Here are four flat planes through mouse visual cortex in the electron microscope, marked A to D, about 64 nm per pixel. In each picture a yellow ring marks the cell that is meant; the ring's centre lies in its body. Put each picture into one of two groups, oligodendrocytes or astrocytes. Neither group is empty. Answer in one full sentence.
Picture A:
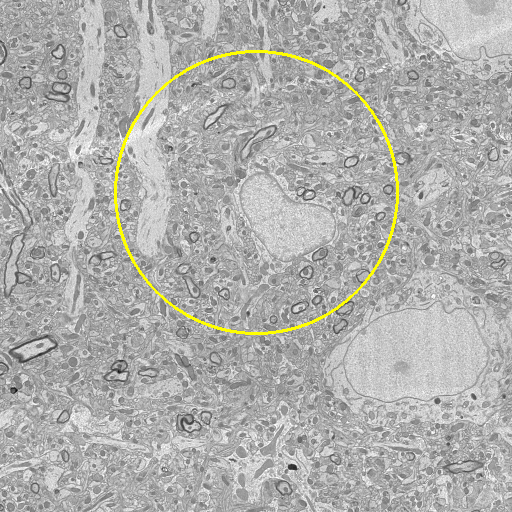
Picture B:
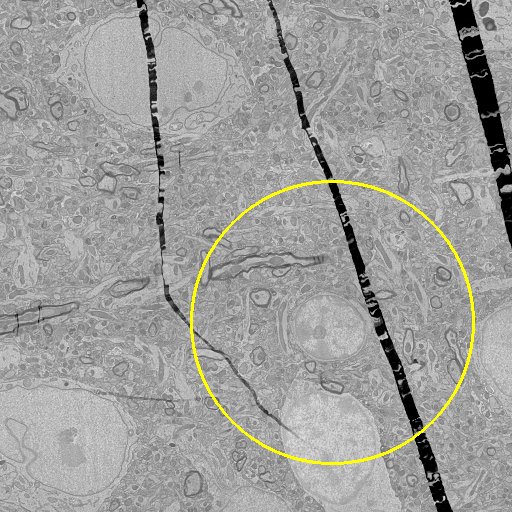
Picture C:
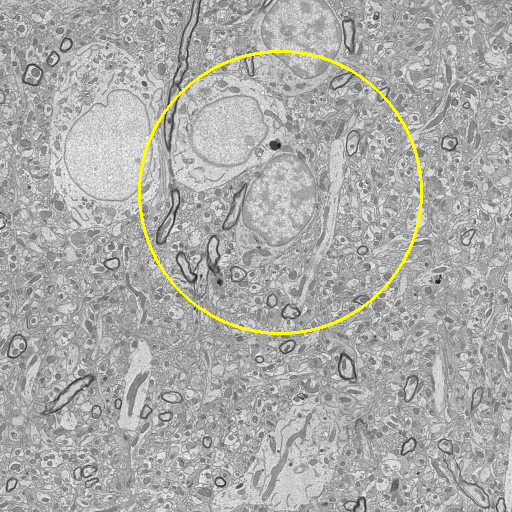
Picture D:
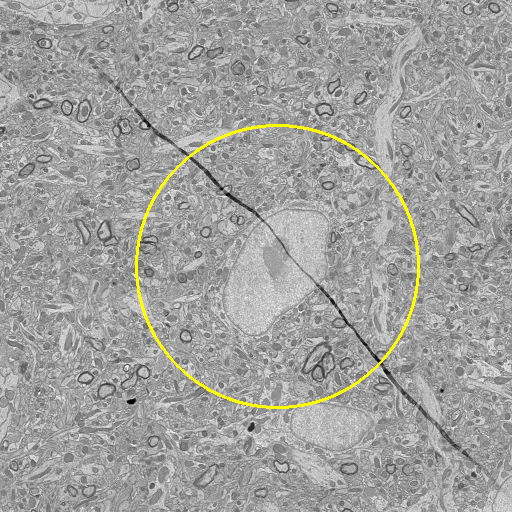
Pictures B and C show oligodendrocytes, while pictures A and D show astrocytes.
